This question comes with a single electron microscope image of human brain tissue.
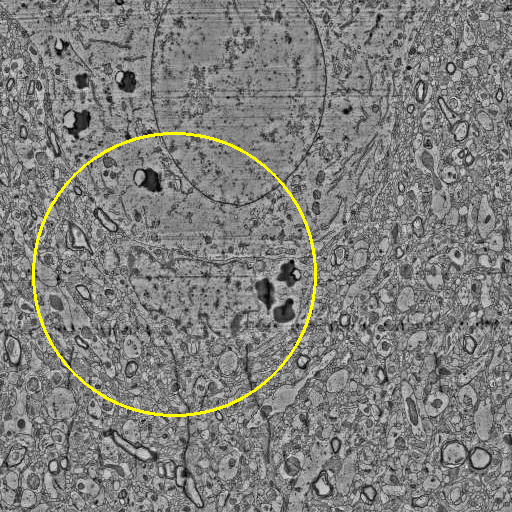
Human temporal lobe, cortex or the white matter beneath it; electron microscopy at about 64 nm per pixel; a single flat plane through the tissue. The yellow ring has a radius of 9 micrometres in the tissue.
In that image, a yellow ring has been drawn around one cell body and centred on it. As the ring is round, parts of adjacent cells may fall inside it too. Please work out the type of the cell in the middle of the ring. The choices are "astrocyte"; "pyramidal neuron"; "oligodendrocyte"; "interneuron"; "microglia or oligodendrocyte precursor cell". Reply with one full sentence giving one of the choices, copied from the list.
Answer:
Of the choices, an interneuron is the cell sitting in the middle of the ring.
